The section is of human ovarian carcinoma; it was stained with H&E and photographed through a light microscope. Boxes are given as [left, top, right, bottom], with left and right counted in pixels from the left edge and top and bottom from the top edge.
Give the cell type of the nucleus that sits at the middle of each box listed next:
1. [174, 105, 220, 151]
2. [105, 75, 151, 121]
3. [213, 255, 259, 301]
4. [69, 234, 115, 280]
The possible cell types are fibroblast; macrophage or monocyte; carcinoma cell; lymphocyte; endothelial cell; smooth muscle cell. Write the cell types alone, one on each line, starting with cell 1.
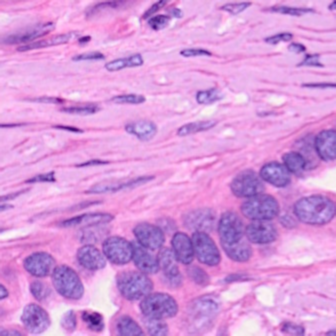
fibroblast
fibroblast
fibroblast
carcinoma cell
